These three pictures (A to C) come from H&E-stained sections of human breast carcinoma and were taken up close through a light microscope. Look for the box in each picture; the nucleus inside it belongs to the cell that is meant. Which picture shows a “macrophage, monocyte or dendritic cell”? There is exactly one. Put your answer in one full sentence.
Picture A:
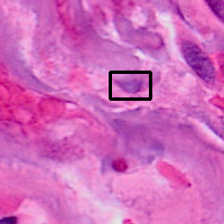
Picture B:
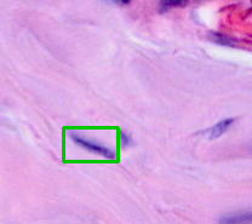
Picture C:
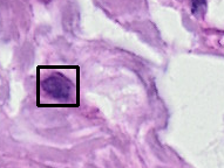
The cell in picture C is the “macrophage, monocyte or dendritic cell”.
